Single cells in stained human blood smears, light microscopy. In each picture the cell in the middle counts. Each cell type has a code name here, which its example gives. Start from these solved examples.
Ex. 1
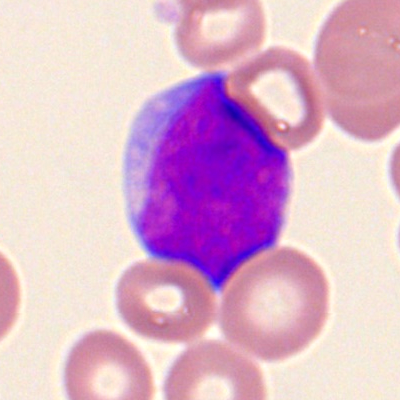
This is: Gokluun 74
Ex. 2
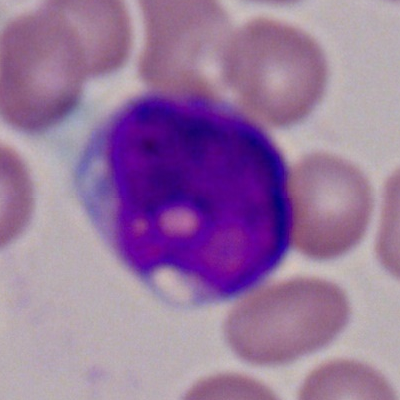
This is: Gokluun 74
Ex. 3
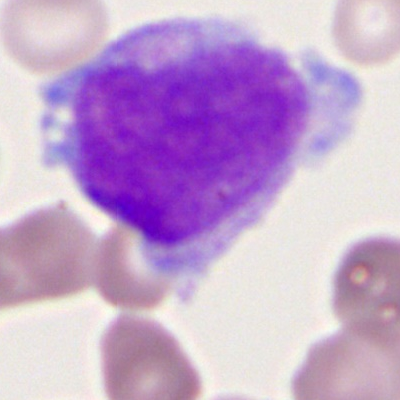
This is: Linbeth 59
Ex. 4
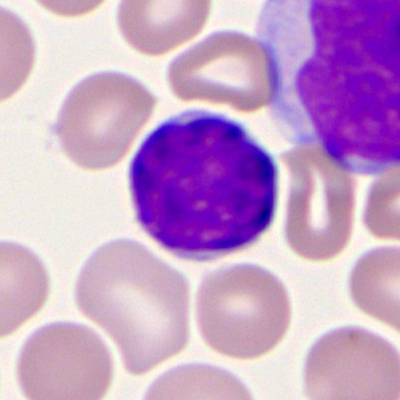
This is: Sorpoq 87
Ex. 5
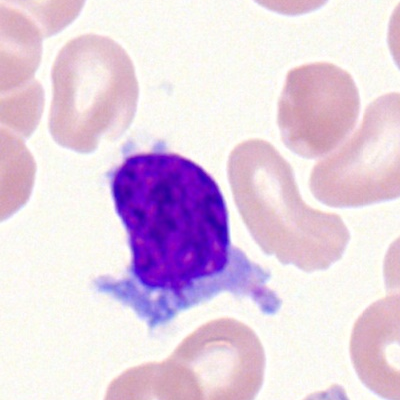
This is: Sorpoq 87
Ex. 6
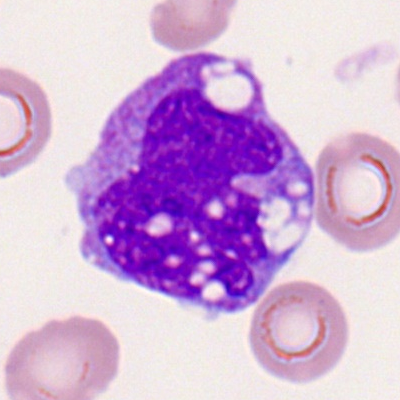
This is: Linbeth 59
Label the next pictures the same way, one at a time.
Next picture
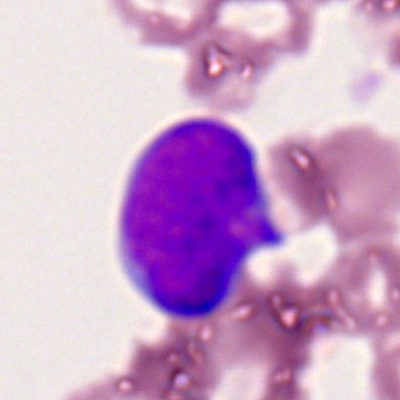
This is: Gokluun 74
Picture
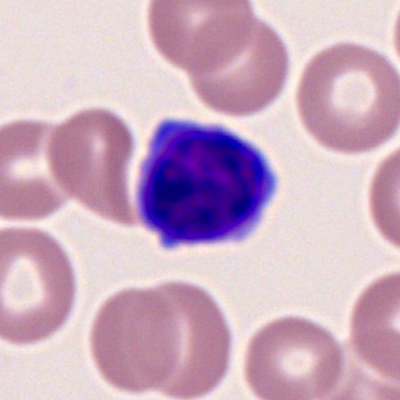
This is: Sorpoq 87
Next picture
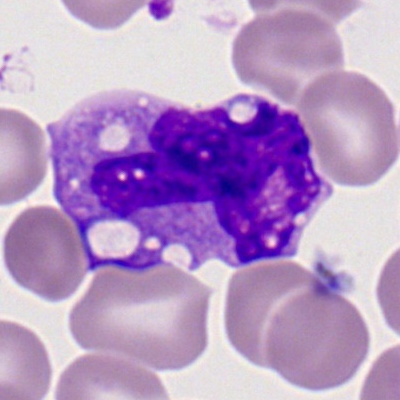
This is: Linbeth 59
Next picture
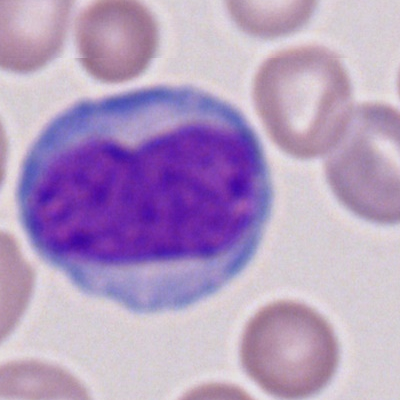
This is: Linbeth 59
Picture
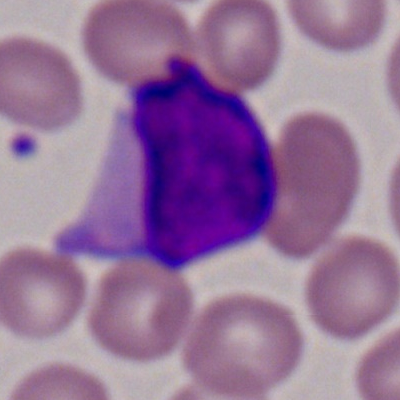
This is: Gokluun 74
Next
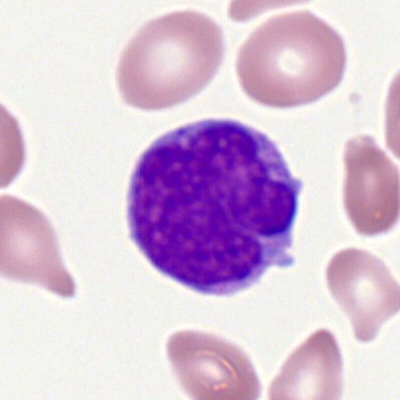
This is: Gokluun 74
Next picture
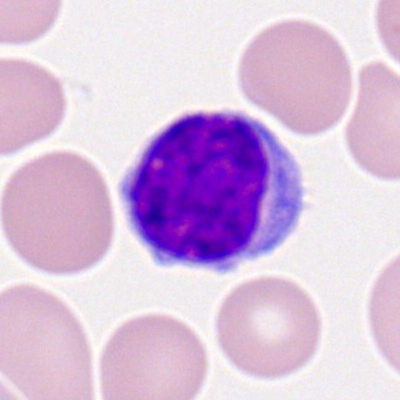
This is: Sorpoq 87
